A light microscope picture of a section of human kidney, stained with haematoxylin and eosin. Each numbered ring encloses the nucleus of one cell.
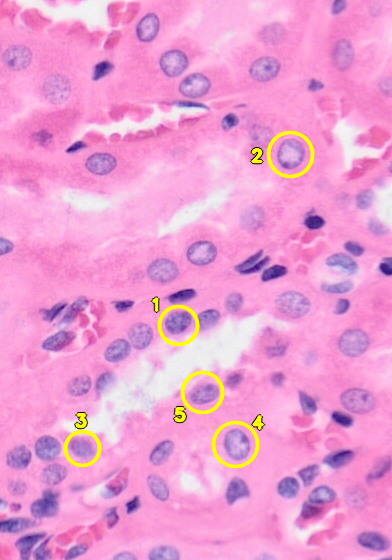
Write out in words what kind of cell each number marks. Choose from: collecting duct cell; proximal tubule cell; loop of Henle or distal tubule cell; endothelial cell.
Cell 1 is a loop of Henle or distal tubule cell, cell 2 is a proximal tubule cell, cell 3 is a loop of Henle or distal tubule cell, cell 4 is a proximal tubule cell and cell 5 is a loop of Henle or distal tubule cell.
